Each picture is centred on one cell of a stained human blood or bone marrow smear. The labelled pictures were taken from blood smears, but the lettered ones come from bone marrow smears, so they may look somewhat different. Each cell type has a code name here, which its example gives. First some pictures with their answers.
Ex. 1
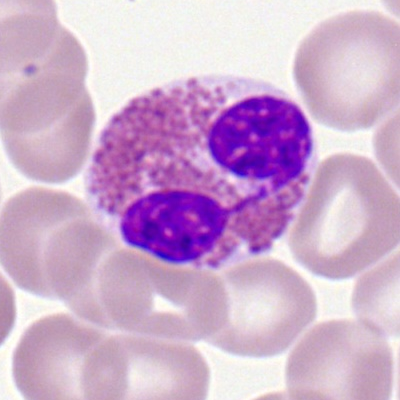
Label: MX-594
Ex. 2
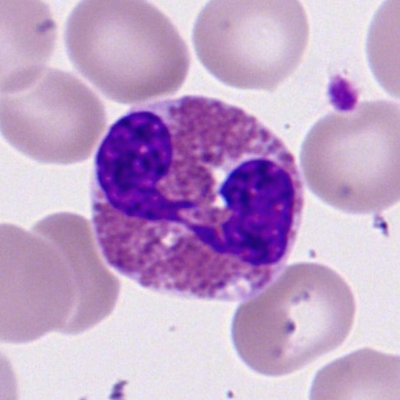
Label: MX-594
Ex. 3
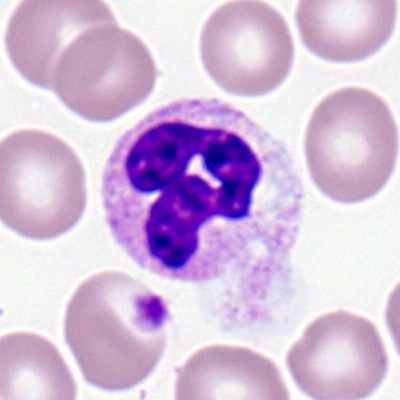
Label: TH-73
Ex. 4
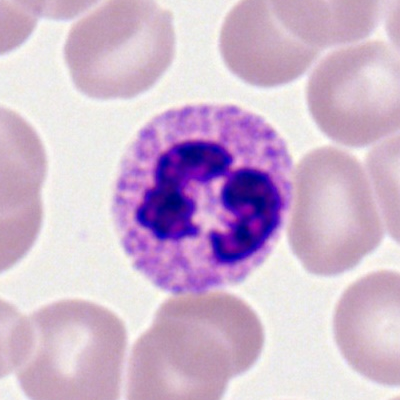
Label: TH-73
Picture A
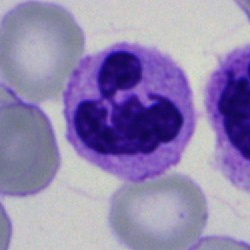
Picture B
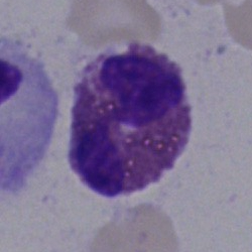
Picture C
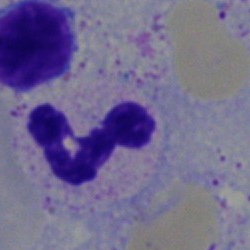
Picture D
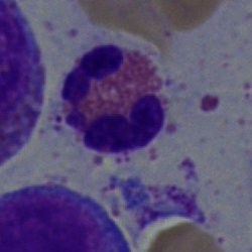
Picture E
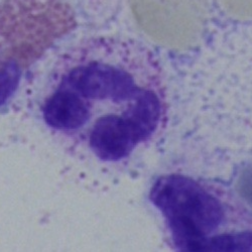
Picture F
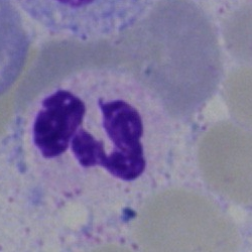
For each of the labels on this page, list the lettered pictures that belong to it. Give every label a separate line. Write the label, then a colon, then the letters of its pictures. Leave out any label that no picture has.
MX-594: B, D
TH-73: A, C, E, F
